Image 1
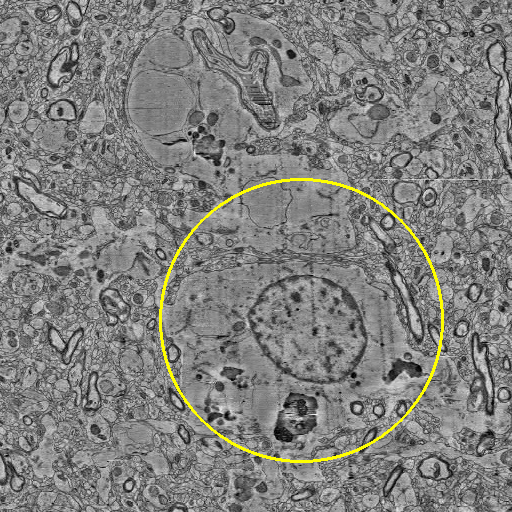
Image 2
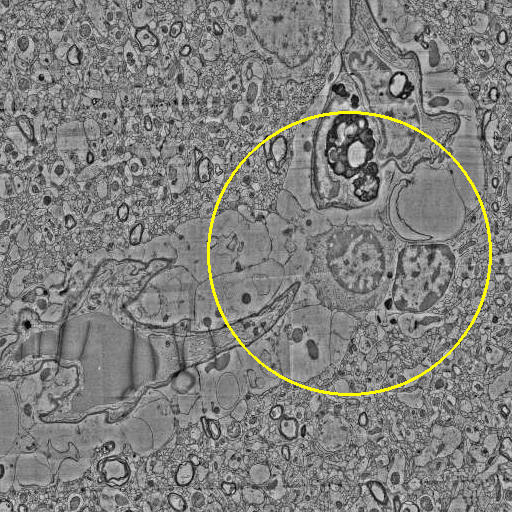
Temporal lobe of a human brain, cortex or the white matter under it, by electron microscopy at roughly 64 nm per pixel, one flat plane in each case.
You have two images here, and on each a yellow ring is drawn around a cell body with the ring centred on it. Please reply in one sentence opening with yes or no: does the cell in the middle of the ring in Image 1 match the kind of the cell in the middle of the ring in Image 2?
No, the two images show cells of two kinds at the centres of their rings.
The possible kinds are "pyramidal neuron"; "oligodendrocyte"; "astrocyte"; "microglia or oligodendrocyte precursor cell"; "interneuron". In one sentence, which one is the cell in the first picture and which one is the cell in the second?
The cell ringed in the second picture is an oligodendrocyte, whereas the one ringed in the first is an astrocyte.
